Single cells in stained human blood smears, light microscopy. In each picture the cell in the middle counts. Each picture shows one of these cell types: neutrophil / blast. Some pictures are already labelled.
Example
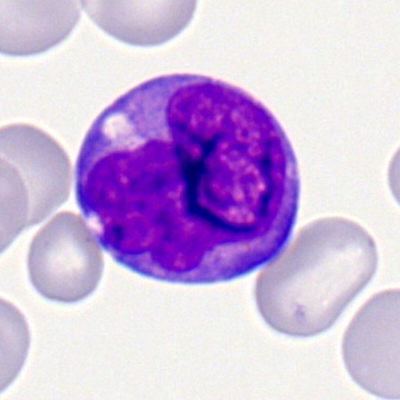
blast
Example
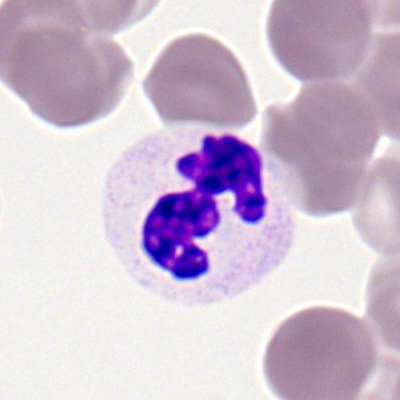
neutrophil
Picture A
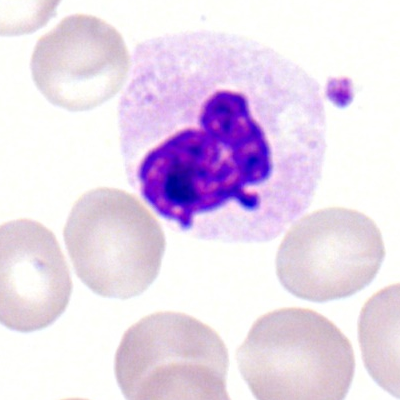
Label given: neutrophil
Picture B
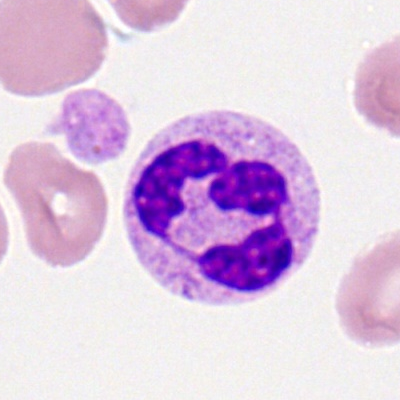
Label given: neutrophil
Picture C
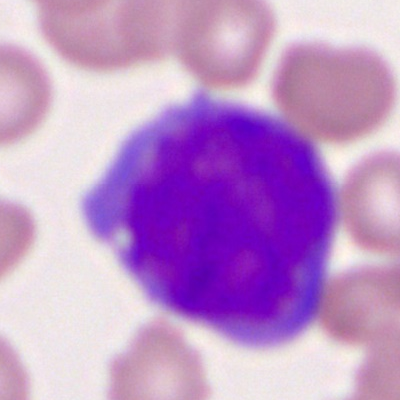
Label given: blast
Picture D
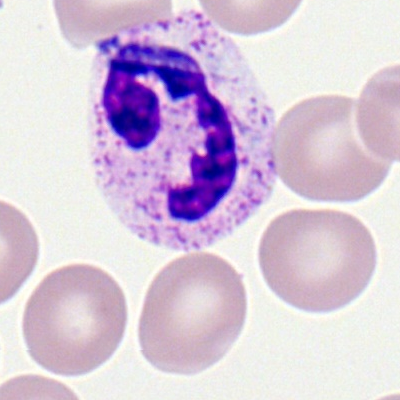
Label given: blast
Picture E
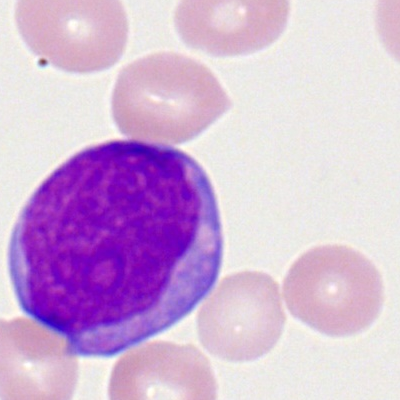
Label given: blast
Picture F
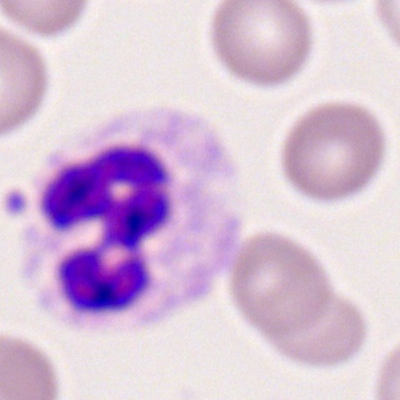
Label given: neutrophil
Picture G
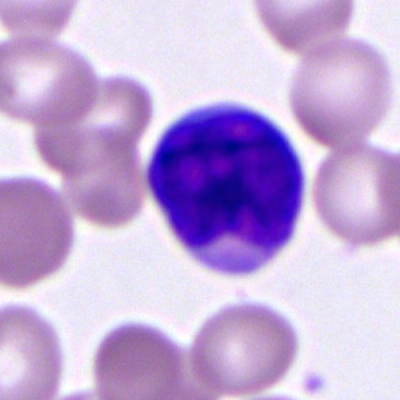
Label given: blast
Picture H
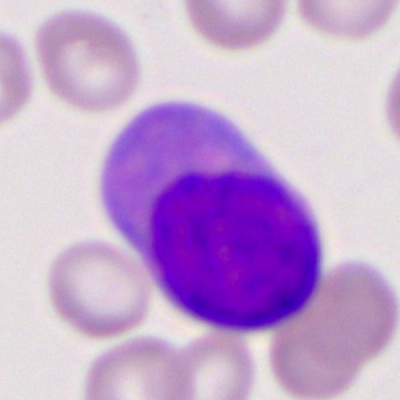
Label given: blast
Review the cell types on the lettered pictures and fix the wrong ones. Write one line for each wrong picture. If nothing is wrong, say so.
Wrong: D (blast); correct: neutrophil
